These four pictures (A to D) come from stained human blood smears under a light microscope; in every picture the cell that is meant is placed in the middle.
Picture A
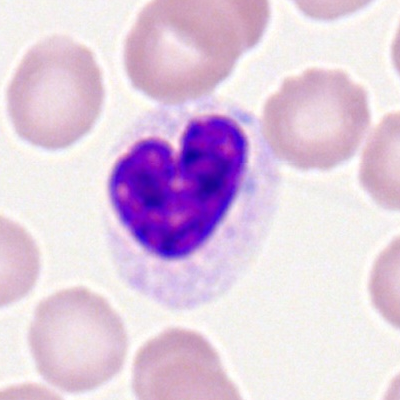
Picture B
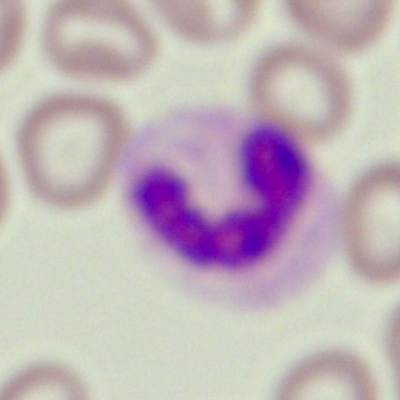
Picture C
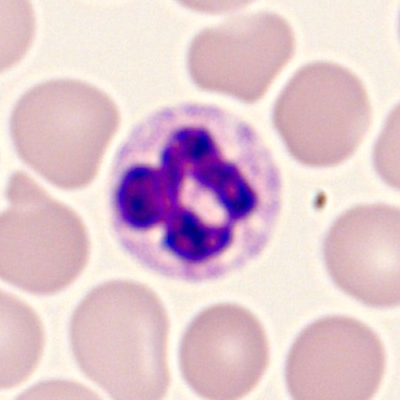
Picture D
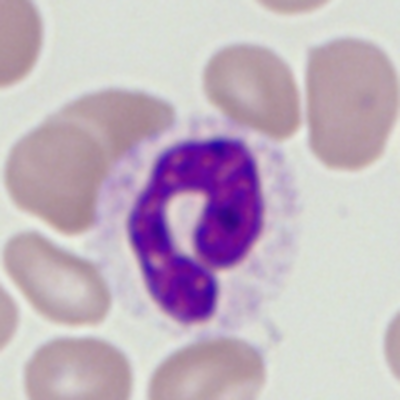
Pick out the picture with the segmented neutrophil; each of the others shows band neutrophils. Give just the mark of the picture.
C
